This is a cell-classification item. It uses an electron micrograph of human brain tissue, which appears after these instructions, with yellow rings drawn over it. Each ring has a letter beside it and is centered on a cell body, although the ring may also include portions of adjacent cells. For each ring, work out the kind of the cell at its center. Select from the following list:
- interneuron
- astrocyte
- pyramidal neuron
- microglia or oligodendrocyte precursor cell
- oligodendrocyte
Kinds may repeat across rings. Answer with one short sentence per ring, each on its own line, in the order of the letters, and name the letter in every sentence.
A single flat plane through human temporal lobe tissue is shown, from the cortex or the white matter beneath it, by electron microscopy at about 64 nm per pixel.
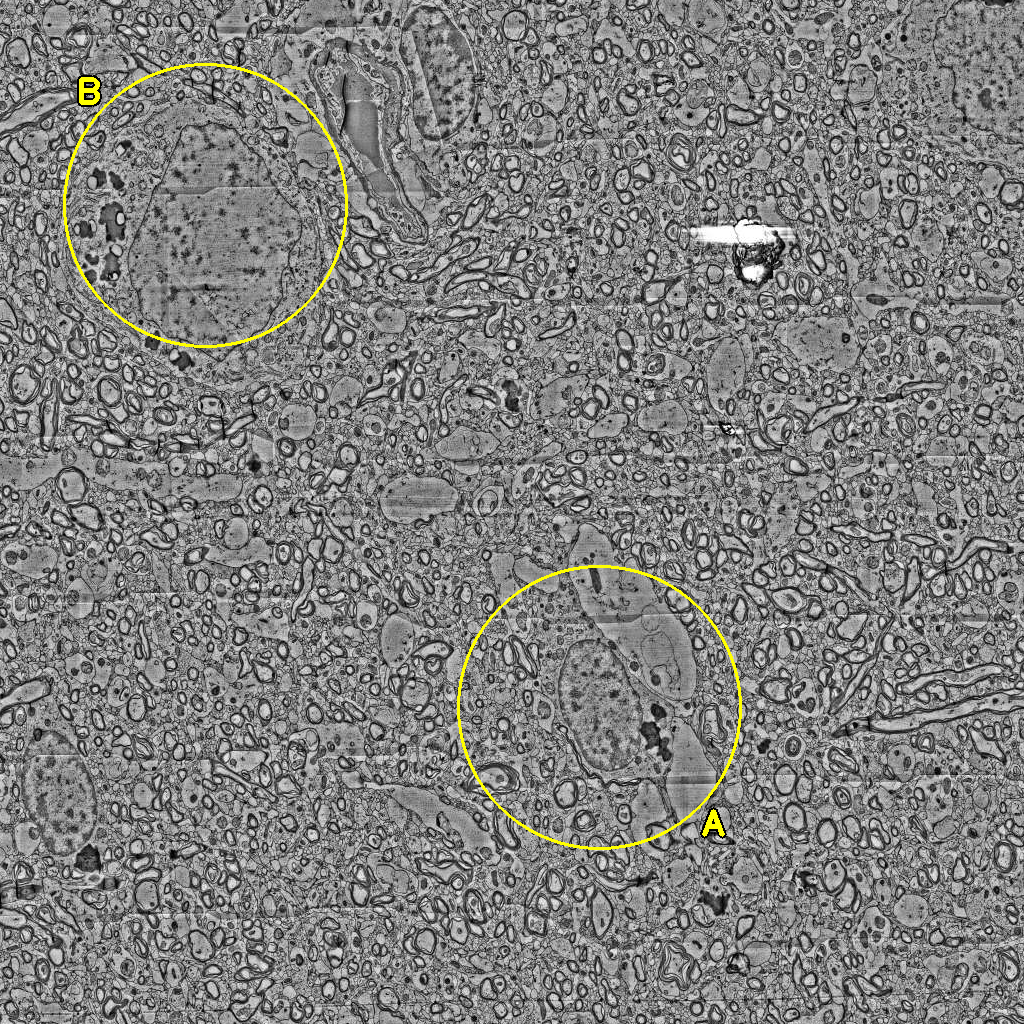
Ring A has an oligodendrocyte at its center.
Ring B has a pyramidal neuron at its center.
